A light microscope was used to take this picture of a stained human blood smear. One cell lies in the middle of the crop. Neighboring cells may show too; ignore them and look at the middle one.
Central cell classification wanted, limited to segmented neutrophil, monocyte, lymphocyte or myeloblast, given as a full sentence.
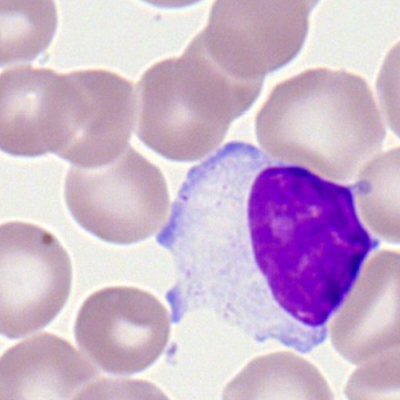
The cell of interest, located centrally, is a lymphocyte.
